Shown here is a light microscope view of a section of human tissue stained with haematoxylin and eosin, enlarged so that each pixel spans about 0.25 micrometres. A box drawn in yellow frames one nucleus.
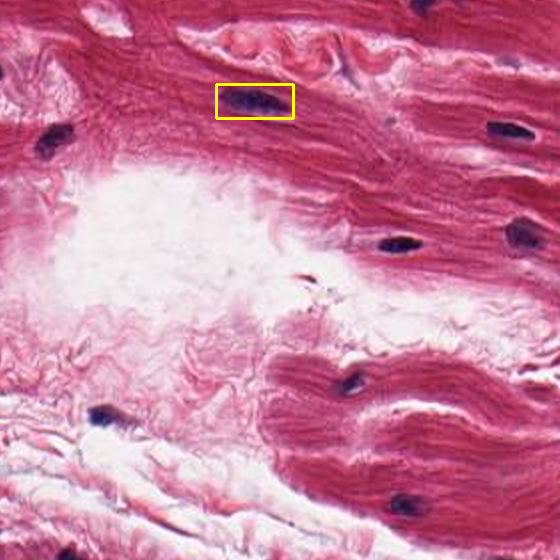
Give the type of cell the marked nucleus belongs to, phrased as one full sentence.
The cell to which the marked nucleus belongs is a cardiomyocyte.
